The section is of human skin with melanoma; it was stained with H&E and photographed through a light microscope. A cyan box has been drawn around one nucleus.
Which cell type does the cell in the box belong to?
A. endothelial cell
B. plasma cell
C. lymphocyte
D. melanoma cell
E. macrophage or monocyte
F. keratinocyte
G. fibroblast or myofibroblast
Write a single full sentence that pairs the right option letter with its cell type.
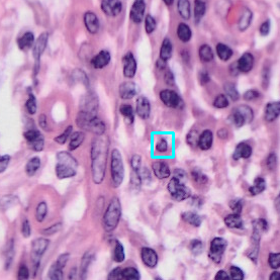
According to option B, the cell in the box is a plasma cell, and this is correct.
